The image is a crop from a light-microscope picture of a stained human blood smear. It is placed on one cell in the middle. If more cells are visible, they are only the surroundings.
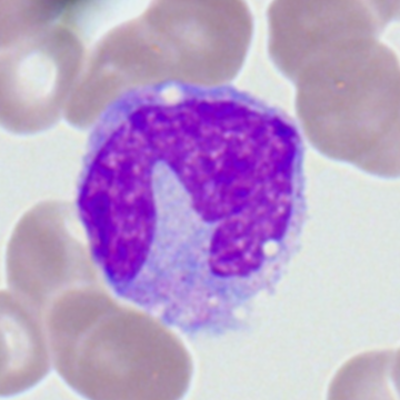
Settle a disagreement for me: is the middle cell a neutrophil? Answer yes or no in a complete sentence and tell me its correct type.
No, the central cell is designated a monocyte and not a neutrophil.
